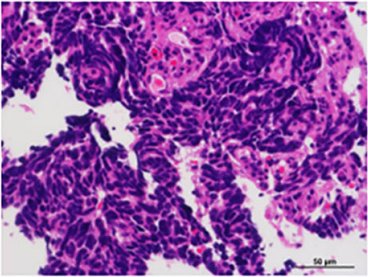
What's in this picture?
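This is tumor tissue made of sheets and nests of small, tightly crowded cells. The nuclei are very dark purple, oval to spindle-shaped, and take up most of each cell, with very little cytoplasm. Neighbouring nuclei press against one another, and the cells stream in swirling bands. No gland-like spaces are formed. Scattered red blood cells and some pinker, looser areas lie between the cell masses.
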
